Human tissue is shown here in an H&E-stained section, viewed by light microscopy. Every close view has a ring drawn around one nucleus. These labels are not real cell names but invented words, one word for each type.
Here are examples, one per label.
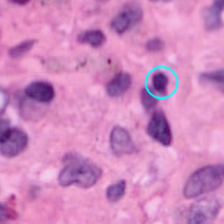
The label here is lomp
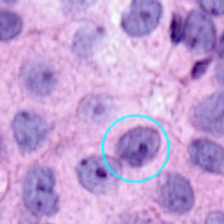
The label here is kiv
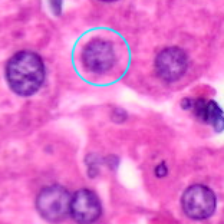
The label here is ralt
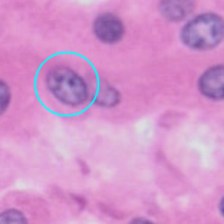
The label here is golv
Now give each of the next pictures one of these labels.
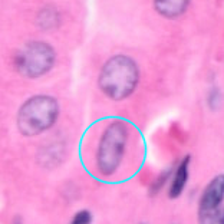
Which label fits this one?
golv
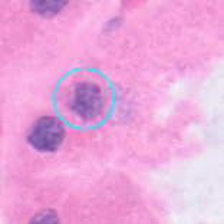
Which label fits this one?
golv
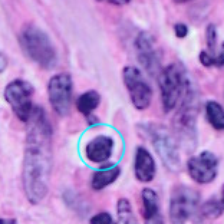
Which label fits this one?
lomp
